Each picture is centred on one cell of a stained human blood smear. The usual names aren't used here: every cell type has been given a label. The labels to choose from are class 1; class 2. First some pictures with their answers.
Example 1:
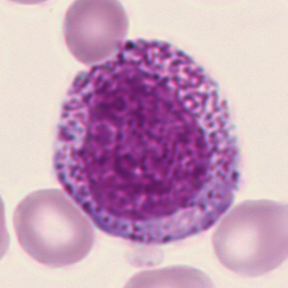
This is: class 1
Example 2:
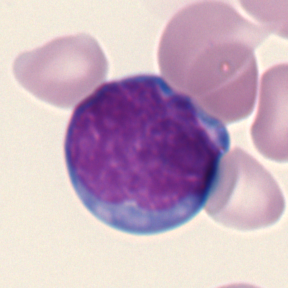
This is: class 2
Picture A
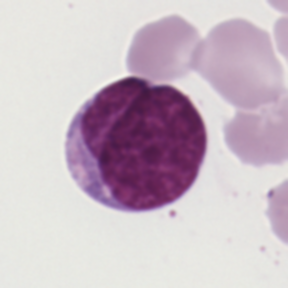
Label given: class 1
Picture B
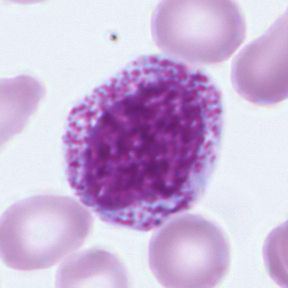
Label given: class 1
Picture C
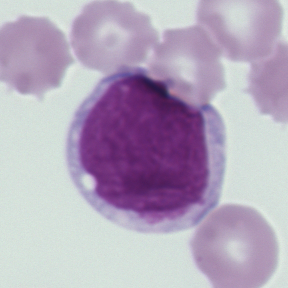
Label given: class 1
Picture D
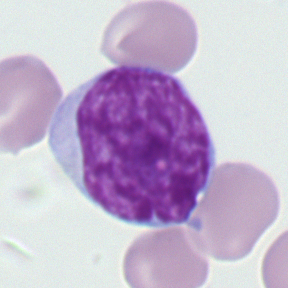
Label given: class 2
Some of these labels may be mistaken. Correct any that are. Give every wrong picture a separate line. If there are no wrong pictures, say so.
A: change class 1 to class 2
C: change class 1 to class 2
